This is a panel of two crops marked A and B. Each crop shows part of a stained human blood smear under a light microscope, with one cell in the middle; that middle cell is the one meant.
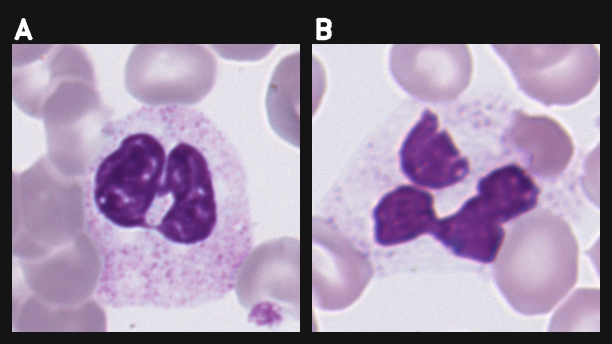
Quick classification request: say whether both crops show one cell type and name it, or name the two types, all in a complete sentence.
Yes, as an answer for this item, both crops show segmented neutrophils.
